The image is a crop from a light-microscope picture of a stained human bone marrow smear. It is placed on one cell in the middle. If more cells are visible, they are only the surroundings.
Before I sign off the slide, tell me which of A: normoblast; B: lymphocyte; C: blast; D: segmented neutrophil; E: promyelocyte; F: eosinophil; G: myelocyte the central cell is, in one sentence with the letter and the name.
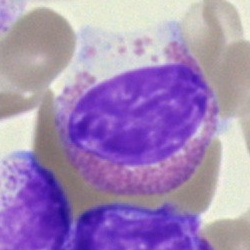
Option F is right, the centrally situated cell being an eosinophil.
